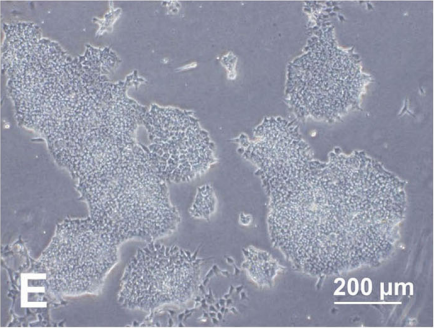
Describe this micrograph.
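This phase contrast image shows several flat colonies of small, densely packed cells spread over an otherwise empty, grey dish surface. The colonies have irregular, lobed but well-defined outlines and are separated by bare areas. Within each colony the cells are small and uniform, closely crowded so that the colony has an even, finely granular texture. Small clusters of a few cells and scattered single cells lie at the colony edges and in between.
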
